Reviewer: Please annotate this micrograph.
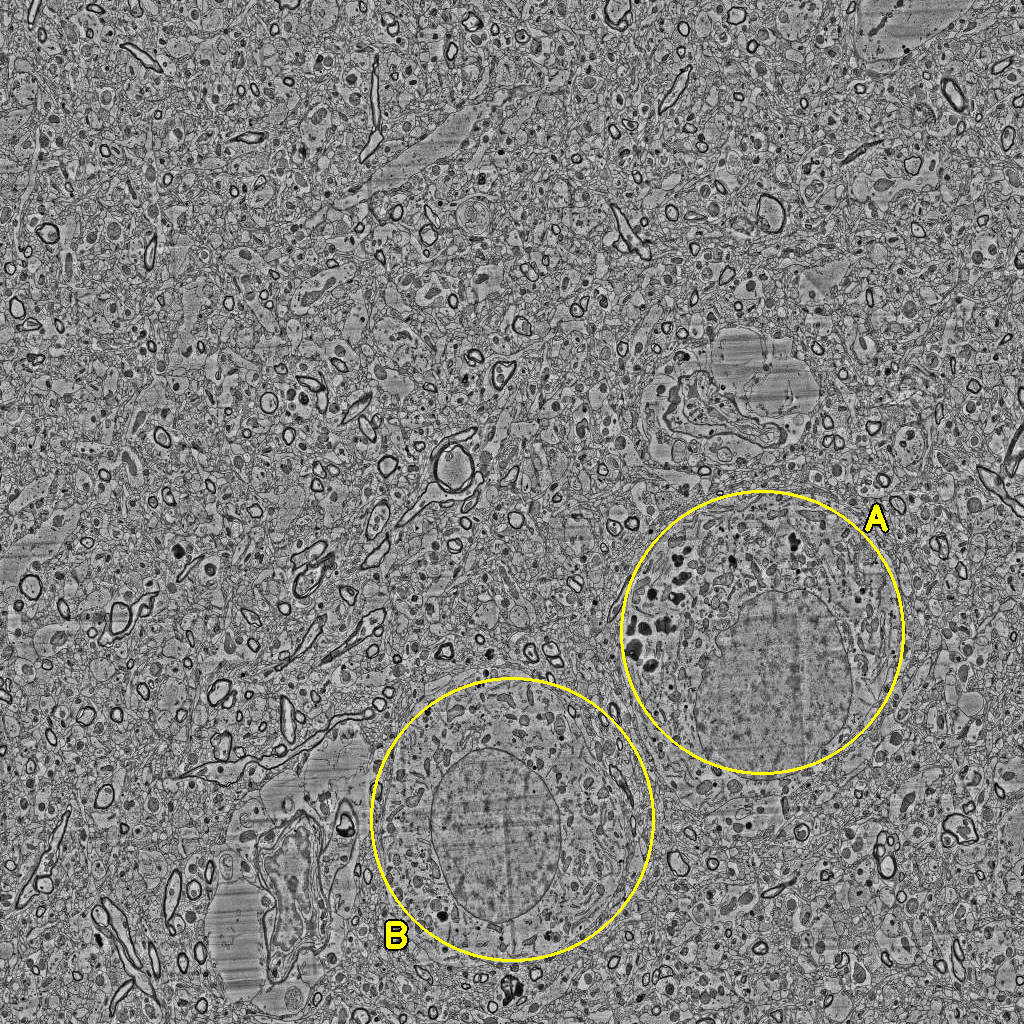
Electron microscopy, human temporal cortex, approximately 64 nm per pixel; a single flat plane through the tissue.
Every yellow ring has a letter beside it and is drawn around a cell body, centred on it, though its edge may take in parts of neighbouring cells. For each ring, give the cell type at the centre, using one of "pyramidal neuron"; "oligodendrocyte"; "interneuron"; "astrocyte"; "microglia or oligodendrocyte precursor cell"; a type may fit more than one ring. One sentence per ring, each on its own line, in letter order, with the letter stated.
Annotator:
The cell in the middle of ring A is an interneuron.
The cell in the middle of ring B is an interneuron.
